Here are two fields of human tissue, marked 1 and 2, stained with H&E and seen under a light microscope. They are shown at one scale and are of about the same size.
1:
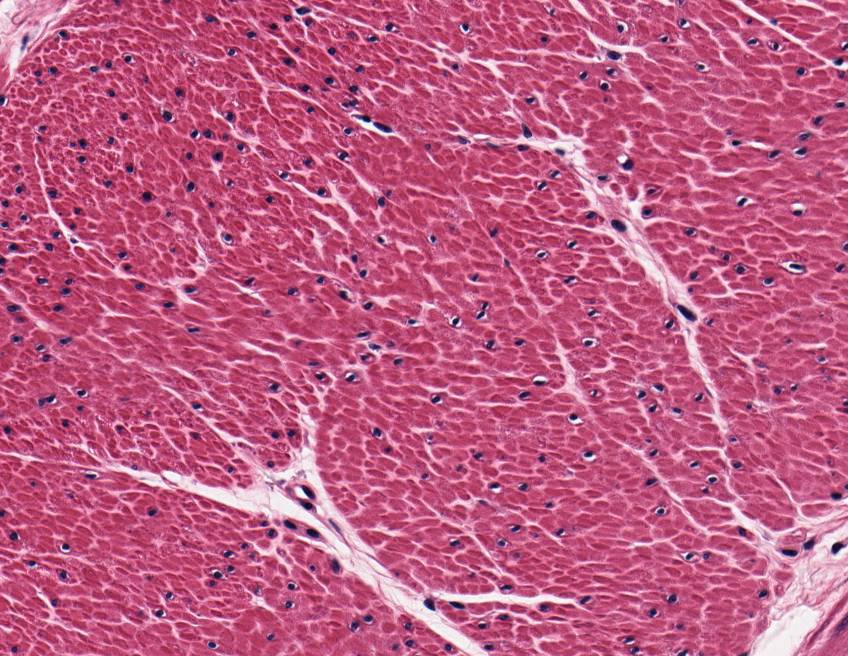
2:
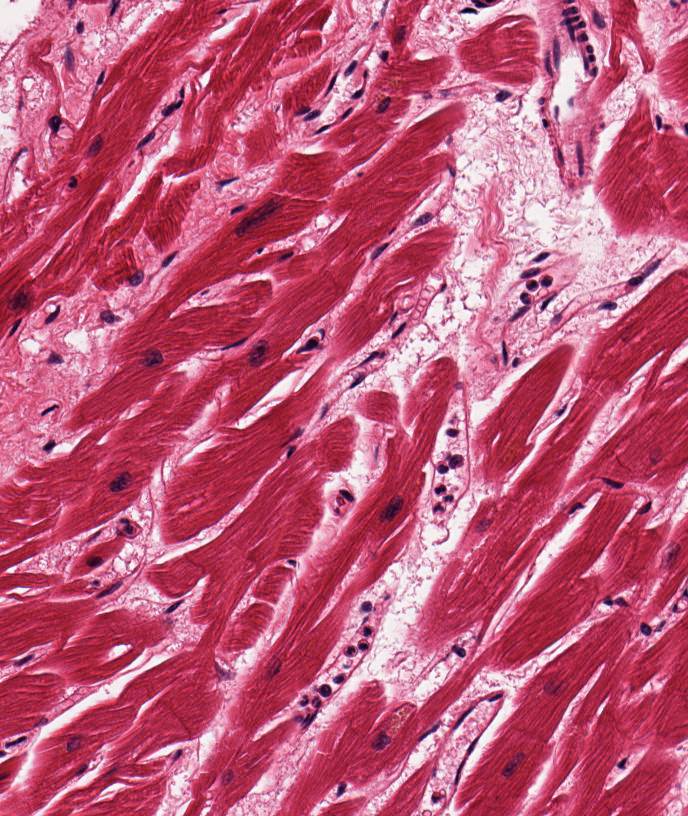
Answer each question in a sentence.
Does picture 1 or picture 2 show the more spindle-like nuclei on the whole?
On the whole the nuclei of picture 2 are more drawn out than those of picture 1.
